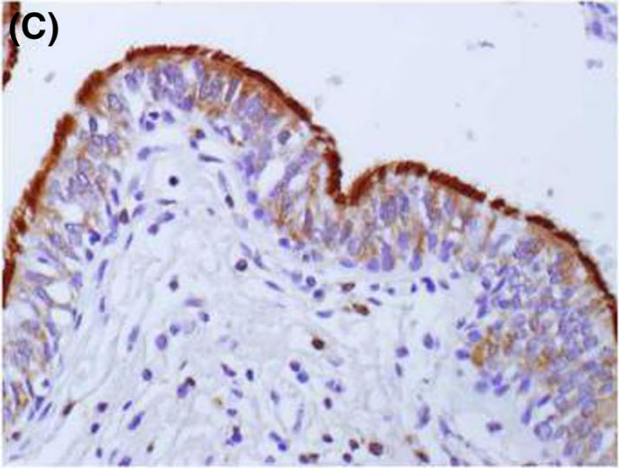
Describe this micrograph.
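This is airway lining of pseudostratified columnar epithelium resting on loose connective tissue. The tall columnar cells have elongated blue nuclei at several levels, and a dense brown band of cilia covers the whole luminal surface, with paler brown in the apical cytoplasm. The connective tissue beneath is loose and pale with scattered small cells.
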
